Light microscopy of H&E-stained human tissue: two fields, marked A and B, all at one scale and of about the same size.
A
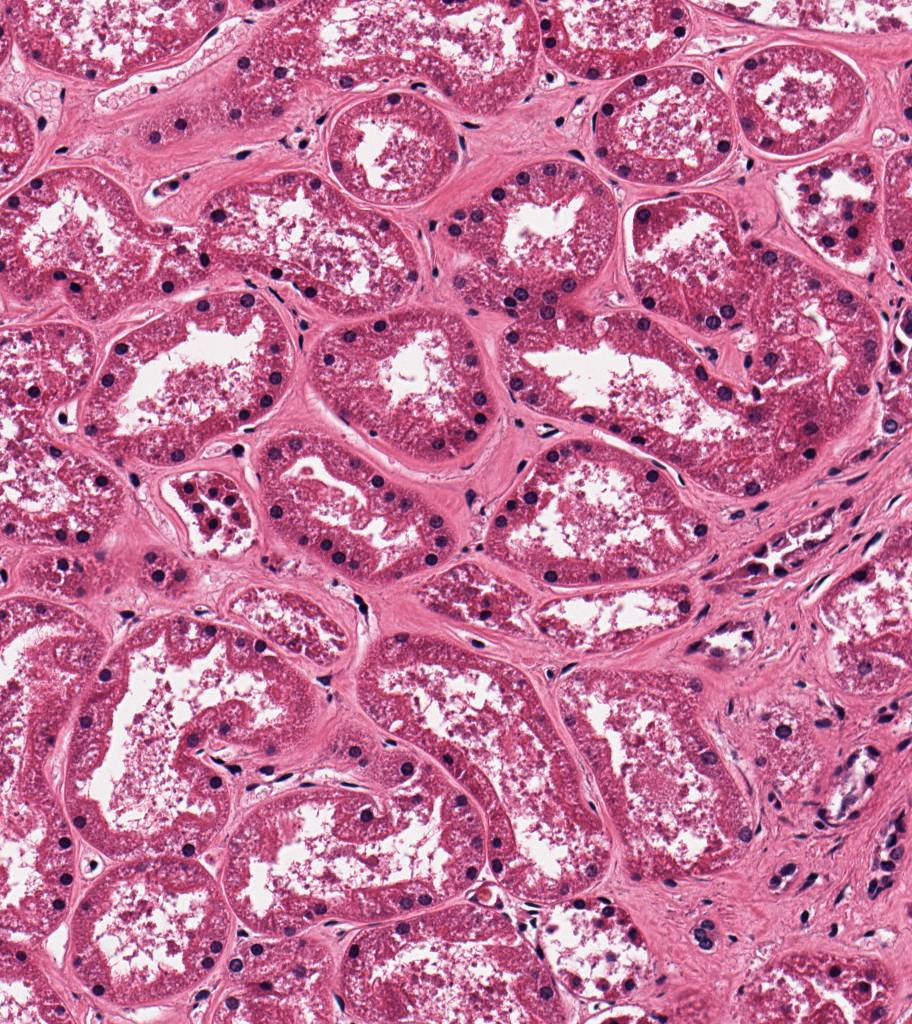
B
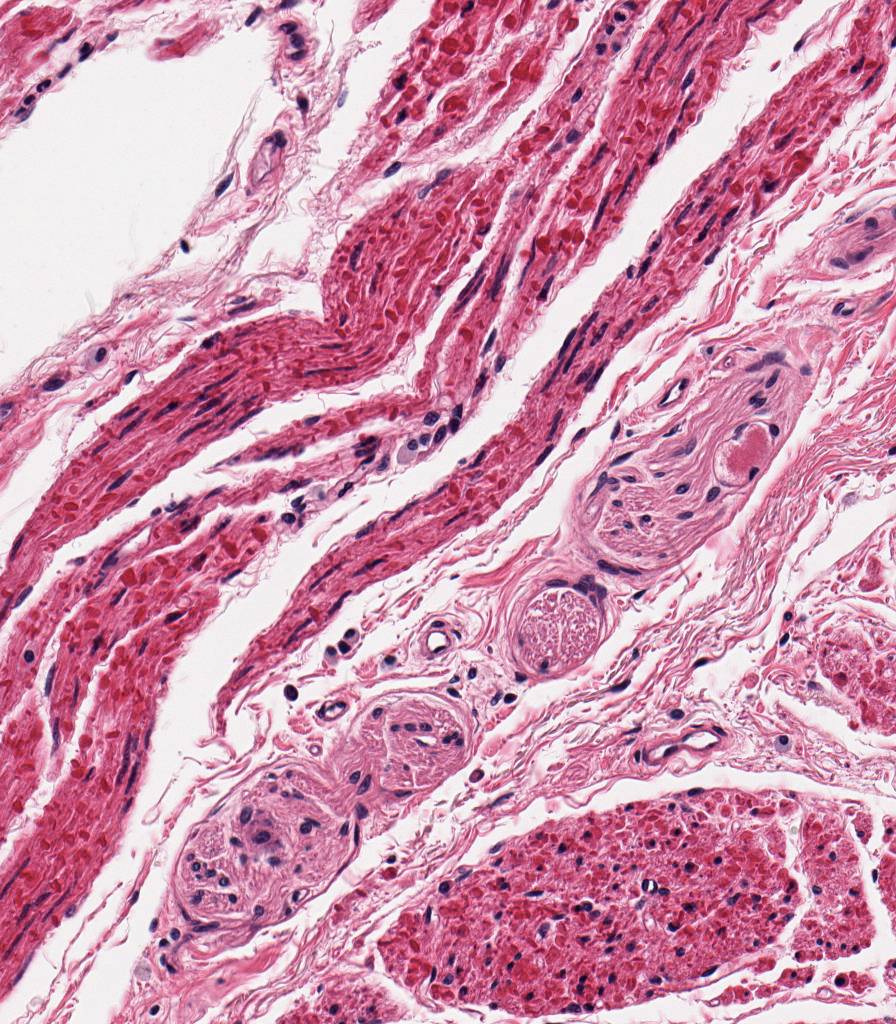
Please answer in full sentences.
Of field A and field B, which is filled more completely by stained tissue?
Unstained space takes up less of field A than of field B.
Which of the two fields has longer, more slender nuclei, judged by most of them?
On the whole the nuclei of field B are more drawn out than those of field A.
